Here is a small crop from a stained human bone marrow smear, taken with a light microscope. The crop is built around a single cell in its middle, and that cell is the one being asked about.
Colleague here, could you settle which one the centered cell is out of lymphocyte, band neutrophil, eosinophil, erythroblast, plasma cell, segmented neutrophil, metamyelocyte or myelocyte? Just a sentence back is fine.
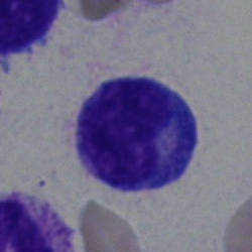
The cell in the exact centre of the crop is a lymphocyte.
